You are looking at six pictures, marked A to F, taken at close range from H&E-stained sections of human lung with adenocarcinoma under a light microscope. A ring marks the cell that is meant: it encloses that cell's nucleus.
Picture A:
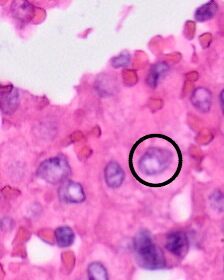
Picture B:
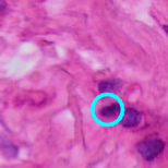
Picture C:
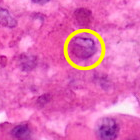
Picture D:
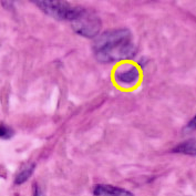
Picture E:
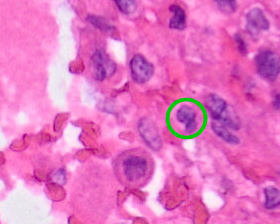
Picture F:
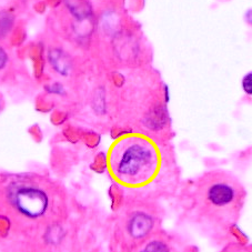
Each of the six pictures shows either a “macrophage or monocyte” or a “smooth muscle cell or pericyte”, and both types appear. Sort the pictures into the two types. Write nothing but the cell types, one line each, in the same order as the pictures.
macrophage or monocyte
smooth muscle cell or pericyte
macrophage or monocyte
smooth muscle cell or pericyte
macrophage or monocyte
macrophage or monocyte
